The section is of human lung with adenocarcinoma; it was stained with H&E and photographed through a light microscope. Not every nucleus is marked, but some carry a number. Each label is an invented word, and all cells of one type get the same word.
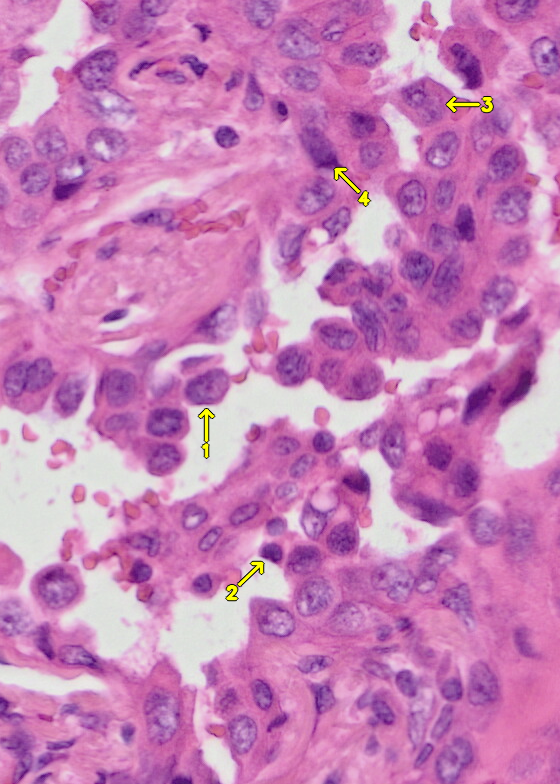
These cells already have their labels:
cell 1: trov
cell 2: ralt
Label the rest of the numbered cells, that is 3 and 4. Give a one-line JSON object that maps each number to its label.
{"3": "trov", "4": "trov"}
